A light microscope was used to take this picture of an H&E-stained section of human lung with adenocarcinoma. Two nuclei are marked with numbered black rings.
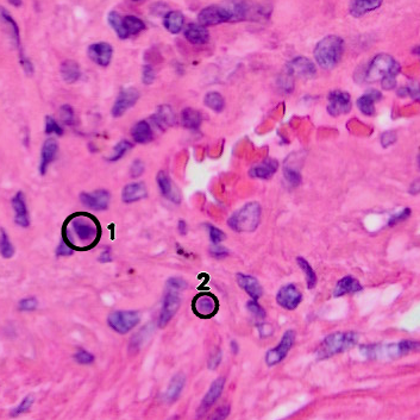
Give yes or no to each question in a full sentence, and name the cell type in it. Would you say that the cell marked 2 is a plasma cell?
No, sorry, the cell labelled 2 is not a plasma cell; it is a smooth muscle cell or pericyte.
